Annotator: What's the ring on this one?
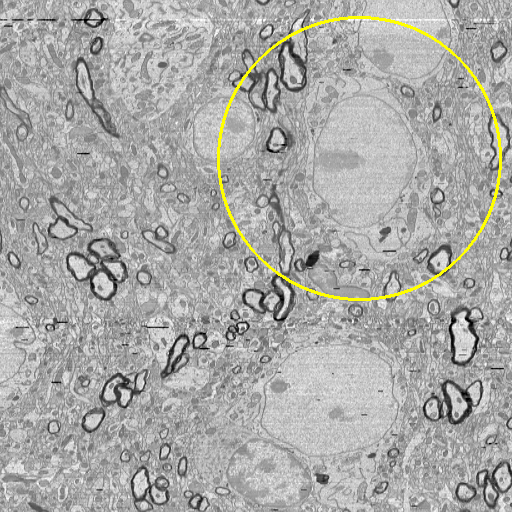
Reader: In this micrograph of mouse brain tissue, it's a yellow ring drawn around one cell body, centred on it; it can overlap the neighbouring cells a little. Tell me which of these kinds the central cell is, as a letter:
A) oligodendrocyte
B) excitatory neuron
B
